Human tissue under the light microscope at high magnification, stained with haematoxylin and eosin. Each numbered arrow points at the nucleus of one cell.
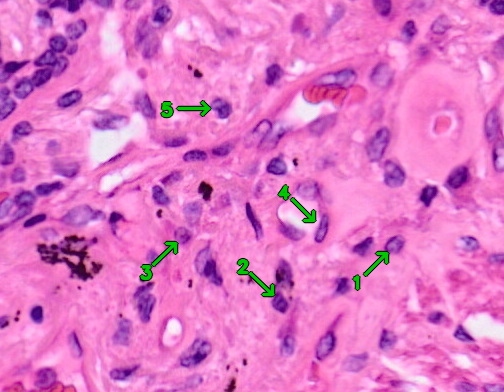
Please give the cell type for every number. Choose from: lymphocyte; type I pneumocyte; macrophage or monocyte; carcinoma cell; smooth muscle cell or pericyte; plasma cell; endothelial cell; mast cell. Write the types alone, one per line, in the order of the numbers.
mast cell
plasma cell
plasma cell
endothelial cell
lymphocyte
